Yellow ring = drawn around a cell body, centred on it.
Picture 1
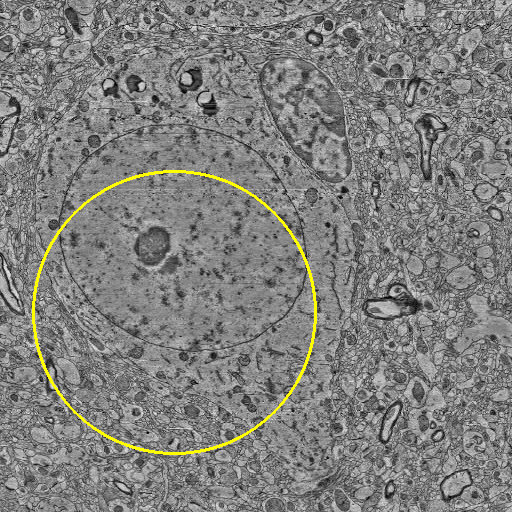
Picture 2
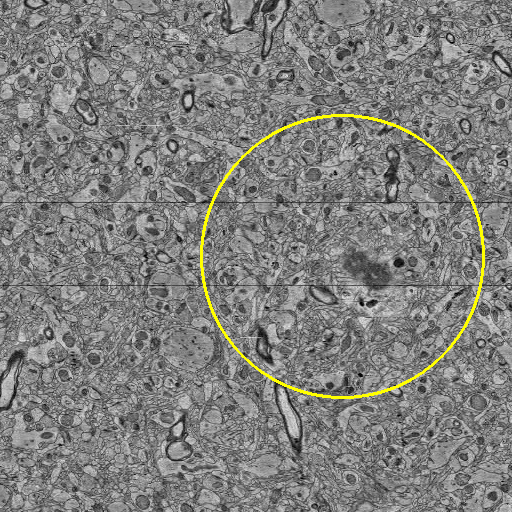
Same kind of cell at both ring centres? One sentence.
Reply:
No, they are two kinds of cell.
